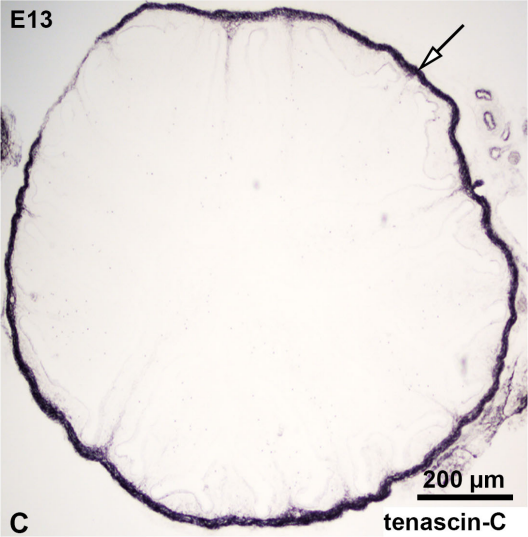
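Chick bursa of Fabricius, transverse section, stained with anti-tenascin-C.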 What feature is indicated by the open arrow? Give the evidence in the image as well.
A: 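The interior of the section is largely unstained.
Connective tissue capsule.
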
